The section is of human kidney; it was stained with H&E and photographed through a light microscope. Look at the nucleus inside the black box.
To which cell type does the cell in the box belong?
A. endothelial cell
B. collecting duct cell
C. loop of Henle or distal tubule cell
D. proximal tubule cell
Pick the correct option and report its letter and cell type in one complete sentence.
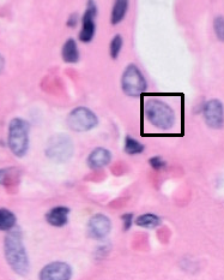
Option B matches the cell in the box, which is a collecting duct cell.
